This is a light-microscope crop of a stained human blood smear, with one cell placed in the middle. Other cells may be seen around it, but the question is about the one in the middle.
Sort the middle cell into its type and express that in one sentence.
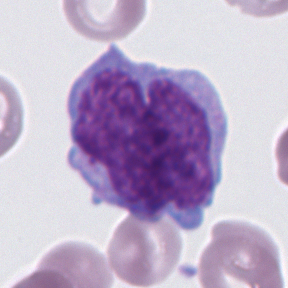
Answering briefly, the cell in the middle is an atypical promyelocyte.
